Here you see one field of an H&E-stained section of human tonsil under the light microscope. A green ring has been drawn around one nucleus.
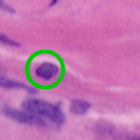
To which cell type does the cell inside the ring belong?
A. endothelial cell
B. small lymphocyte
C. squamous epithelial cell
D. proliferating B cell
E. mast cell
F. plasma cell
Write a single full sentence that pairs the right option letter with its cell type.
The correct choice is option E; the cell inside the ring is a mast cell.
